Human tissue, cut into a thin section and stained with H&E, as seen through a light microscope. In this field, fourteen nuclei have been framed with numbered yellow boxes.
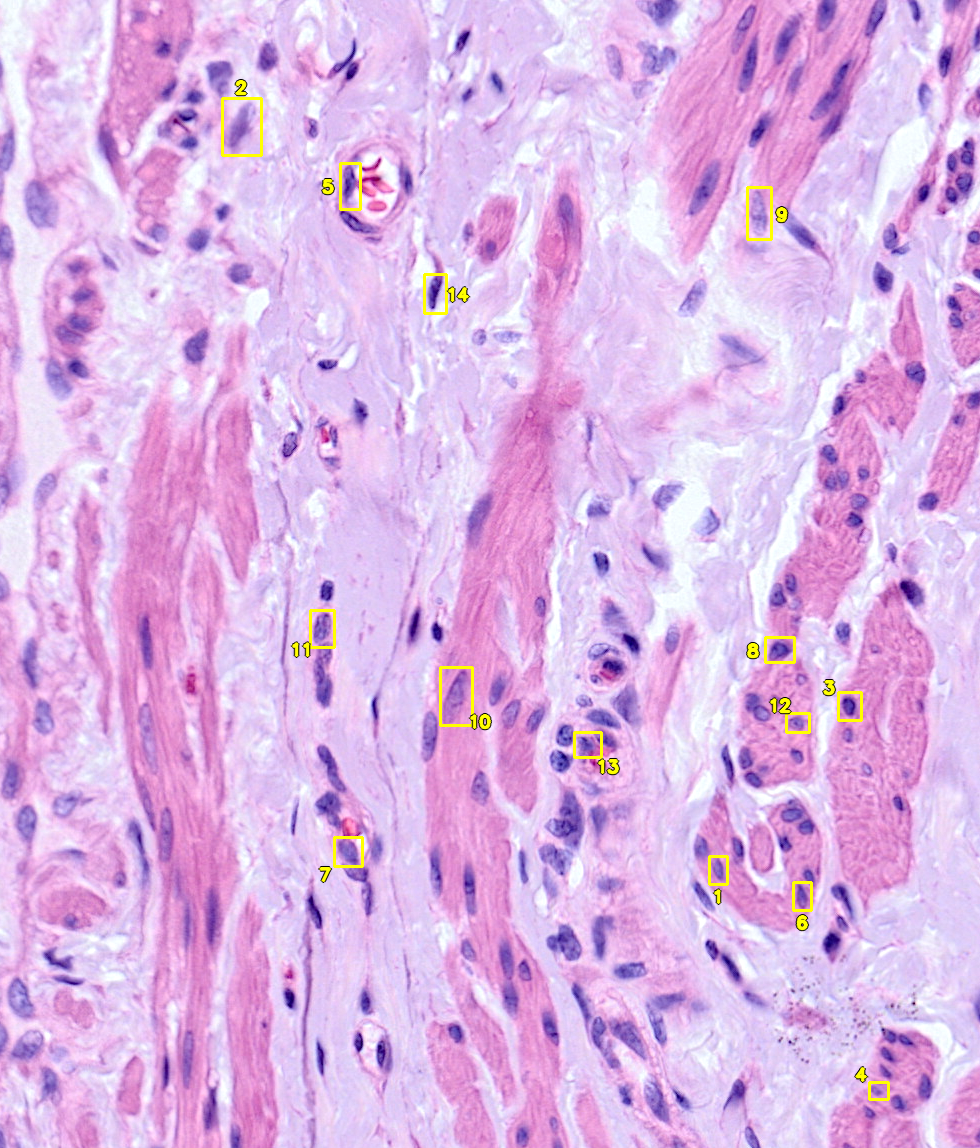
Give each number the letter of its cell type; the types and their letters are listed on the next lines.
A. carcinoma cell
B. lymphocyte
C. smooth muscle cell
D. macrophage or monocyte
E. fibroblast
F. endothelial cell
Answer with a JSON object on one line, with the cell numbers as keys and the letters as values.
{"1": "C", "2": "E", "3": "C", "4": "C", "5": "F", "6": "C", "7": "F", "8": "C", "9": "C", "10": "C", "11": "F", "12": "C", "13": "F", "14": "E"}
